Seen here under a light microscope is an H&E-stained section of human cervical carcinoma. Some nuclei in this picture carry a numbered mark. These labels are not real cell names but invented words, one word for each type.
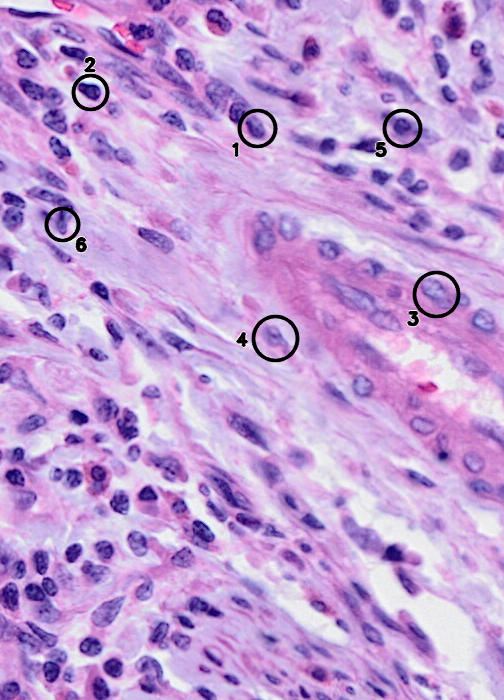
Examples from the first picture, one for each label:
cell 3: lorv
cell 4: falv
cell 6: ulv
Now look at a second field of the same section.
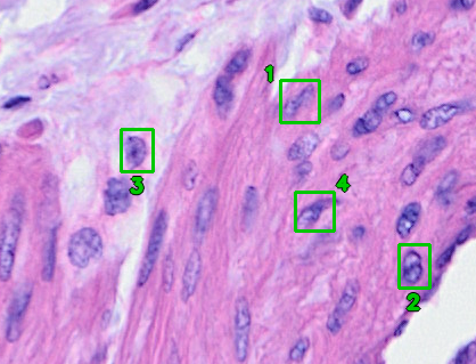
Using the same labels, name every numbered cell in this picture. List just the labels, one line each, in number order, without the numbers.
lorv
lorv
falv
lorv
